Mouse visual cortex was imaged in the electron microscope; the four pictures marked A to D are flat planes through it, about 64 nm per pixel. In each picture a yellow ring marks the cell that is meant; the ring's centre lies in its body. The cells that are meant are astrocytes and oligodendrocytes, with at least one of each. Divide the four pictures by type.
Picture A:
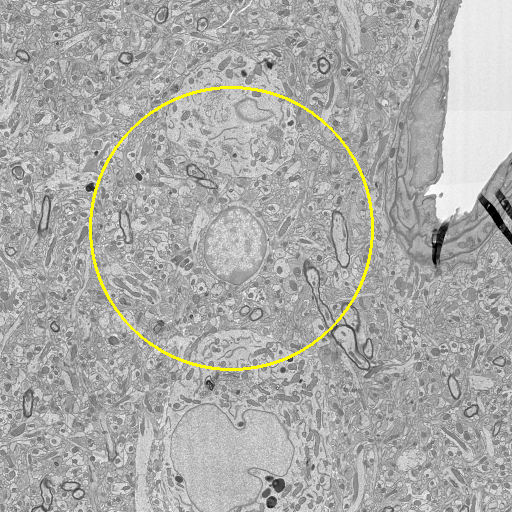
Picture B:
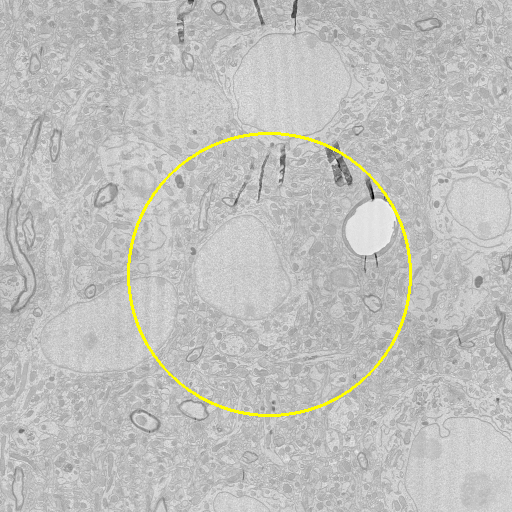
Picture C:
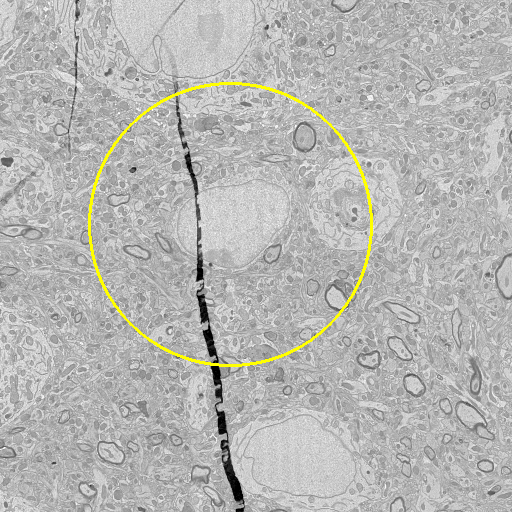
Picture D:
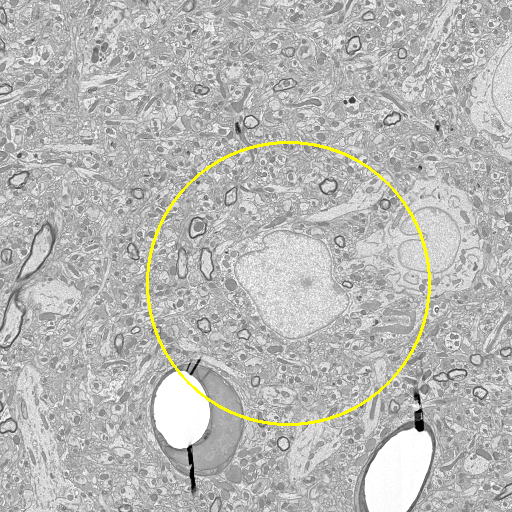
Pictures B, C and D show astrocytes; picture A shows an oligodendrocyte.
